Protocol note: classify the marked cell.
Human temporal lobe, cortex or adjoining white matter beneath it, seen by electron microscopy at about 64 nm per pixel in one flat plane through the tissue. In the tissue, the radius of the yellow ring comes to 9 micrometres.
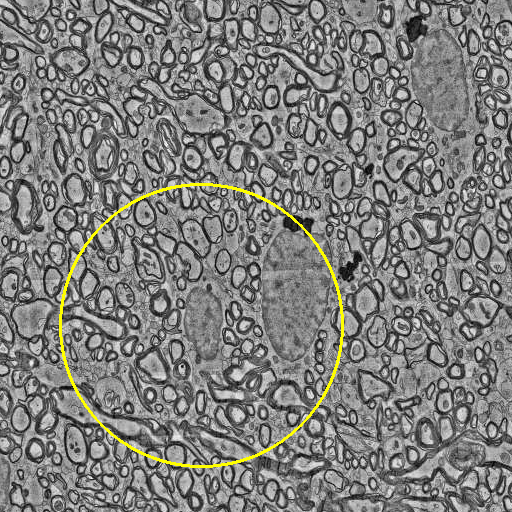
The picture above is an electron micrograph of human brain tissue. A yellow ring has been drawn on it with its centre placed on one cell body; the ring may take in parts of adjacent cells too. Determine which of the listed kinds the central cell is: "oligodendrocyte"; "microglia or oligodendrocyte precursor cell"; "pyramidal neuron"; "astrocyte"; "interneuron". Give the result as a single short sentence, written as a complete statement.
The central cell is an oligodendrocyte.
